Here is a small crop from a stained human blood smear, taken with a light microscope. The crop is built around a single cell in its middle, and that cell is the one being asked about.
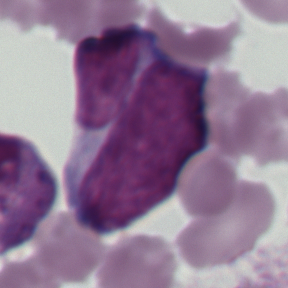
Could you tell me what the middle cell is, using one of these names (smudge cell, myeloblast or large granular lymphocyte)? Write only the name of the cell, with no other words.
myeloblast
